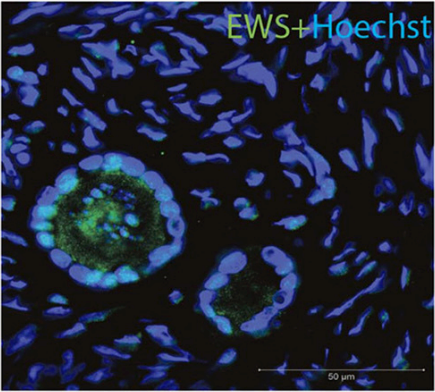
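Ovarian cortex with two follicles, each a large oocyte surrounded by granulosa cells. The larger follicle shows a single complete layer of plump cuboidal granulosa cells whose nuclei appear bright blue-green, ringing a large oocyte with finely granular green cytoplasm. Around the follicles lies dense stroma made of many elongated, spindle-shaped blue nuclei running in varied directions, with only faint green among them.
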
